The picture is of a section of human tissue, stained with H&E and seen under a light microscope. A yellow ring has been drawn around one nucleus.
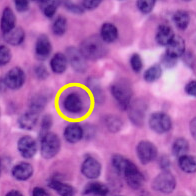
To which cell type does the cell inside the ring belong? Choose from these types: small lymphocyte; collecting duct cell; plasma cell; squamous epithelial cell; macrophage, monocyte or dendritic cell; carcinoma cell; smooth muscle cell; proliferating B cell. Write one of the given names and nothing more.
plasma cell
